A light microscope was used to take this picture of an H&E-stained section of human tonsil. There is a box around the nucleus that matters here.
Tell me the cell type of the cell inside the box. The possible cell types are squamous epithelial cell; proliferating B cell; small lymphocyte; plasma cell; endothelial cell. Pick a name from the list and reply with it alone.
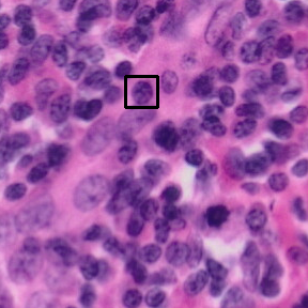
endothelial cell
